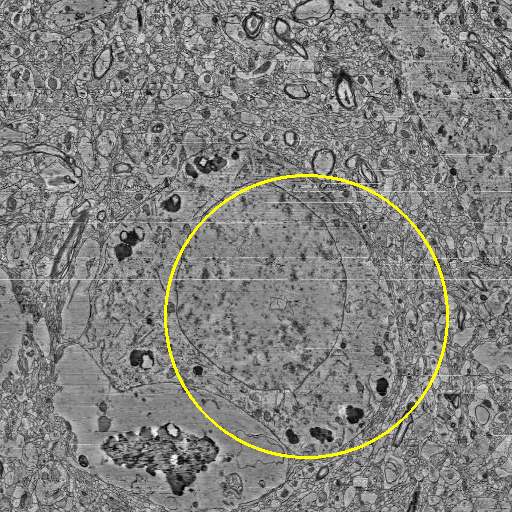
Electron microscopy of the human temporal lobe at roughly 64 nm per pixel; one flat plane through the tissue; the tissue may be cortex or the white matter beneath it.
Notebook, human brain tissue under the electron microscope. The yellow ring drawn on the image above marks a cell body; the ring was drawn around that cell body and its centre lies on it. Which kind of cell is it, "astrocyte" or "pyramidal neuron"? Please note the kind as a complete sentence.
The marked cell body is that of a pyramidal neuron.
